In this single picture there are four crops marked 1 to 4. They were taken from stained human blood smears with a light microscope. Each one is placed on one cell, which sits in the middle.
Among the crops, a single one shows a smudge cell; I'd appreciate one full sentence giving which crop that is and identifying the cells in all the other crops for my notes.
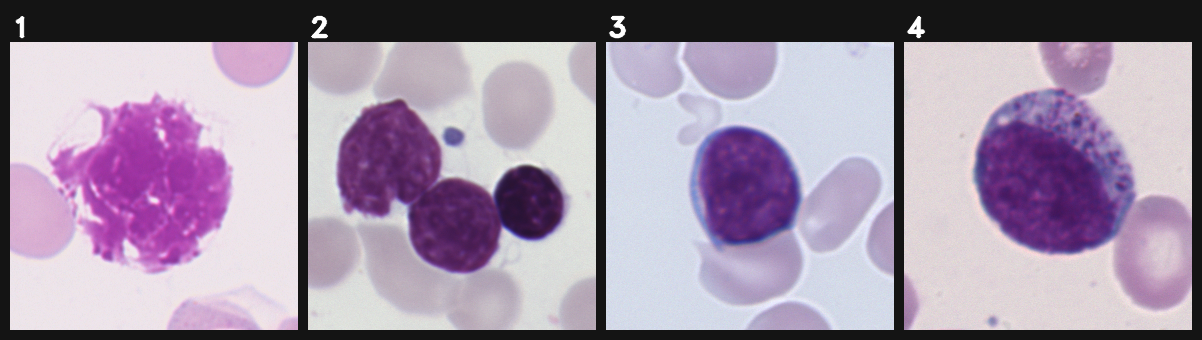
Crop 1 corresponds to a smudge cell, whereas crop 2 is a myeloblast, crop 3 is a typical lymphocyte and crop 4 is a promyelocyte.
